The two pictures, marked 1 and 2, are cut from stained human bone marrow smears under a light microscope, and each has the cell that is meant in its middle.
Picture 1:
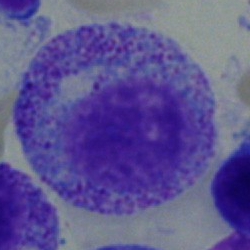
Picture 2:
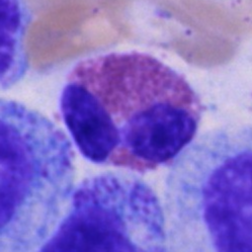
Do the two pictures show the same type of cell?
no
